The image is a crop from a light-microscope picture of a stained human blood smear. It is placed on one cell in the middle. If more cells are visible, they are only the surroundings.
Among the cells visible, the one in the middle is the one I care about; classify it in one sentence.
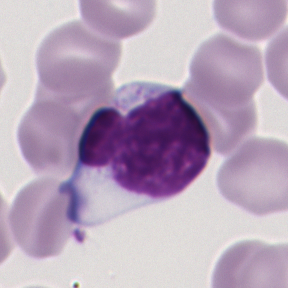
In the centre of this crop there is a large granular lymphocyte.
